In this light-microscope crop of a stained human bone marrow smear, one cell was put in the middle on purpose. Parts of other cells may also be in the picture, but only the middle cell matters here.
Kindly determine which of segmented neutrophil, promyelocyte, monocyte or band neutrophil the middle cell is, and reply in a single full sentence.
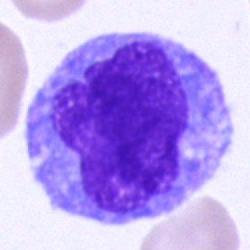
At the crop's centre, the cell is a monocyte.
